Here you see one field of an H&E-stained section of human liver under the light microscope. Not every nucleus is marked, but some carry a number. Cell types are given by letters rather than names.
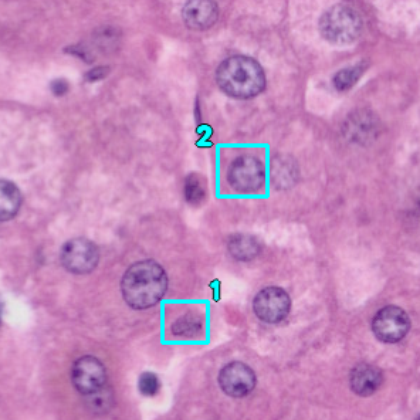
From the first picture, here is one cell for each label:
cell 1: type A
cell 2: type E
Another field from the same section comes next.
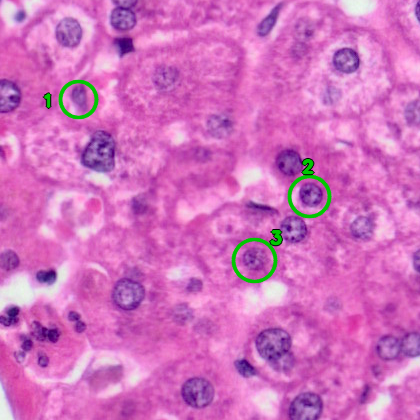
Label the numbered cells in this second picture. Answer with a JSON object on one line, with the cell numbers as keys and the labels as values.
{"1": "type A", "2": "type E", "3": "type E"}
